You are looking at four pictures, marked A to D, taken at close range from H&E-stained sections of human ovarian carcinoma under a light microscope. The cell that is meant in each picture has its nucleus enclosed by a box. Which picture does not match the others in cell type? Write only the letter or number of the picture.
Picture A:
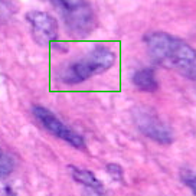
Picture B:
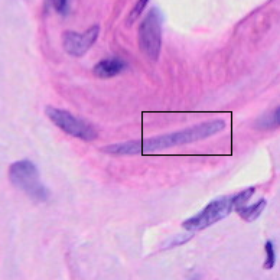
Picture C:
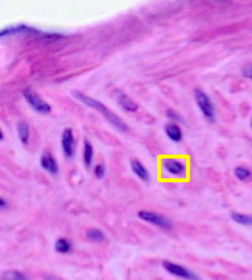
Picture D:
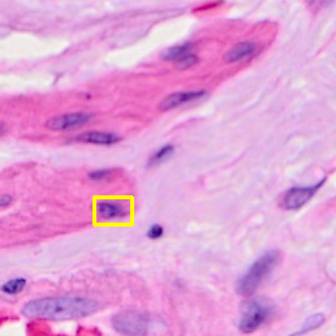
A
